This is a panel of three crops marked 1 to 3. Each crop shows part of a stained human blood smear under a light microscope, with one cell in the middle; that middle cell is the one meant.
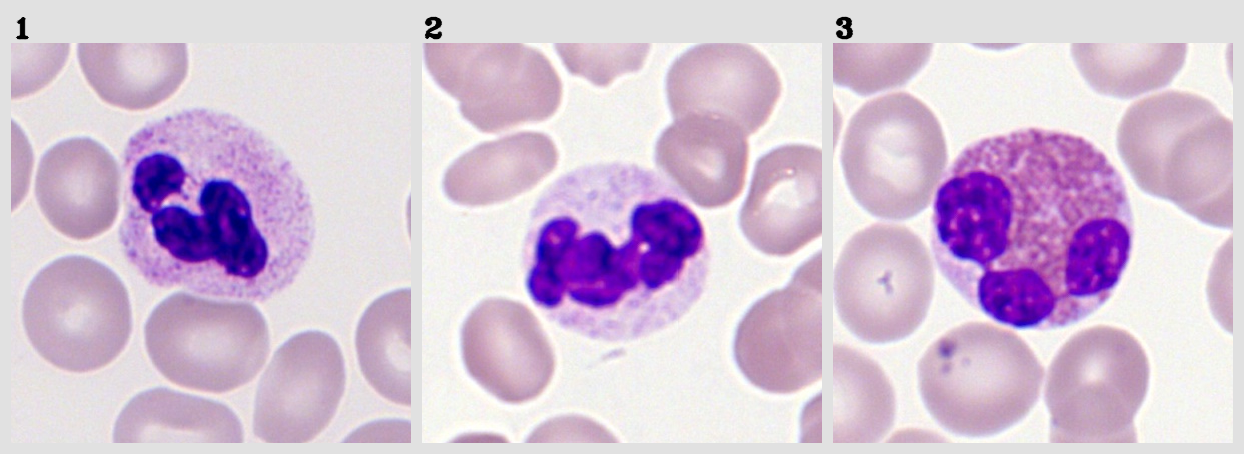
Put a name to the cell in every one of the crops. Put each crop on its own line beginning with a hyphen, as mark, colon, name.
- 1: segmented neutrophil
- 2: segmented neutrophil
- 3: eosinophil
